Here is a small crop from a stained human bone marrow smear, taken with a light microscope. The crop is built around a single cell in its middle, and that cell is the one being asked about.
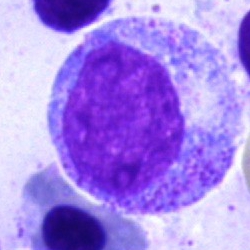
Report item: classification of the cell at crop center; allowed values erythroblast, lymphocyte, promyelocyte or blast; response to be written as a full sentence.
The middle of this crop is occupied by a promyelocyte.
